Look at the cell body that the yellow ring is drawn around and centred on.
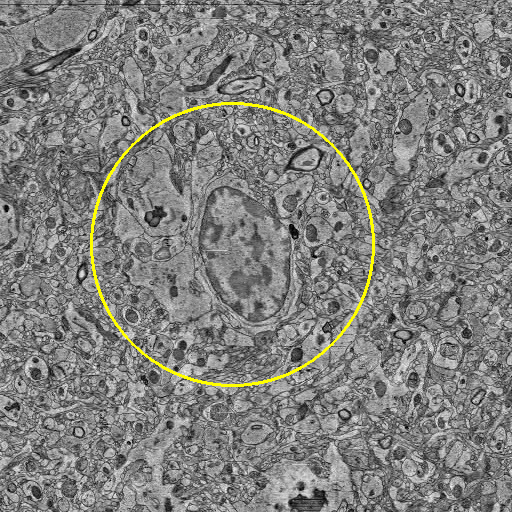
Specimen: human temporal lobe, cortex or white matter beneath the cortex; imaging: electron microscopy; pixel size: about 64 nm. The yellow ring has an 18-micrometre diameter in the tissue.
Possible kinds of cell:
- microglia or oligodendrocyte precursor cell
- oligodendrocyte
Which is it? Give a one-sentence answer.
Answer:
The centred cell body is that of a microglial cell or oligodendrocyte precursor cell.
